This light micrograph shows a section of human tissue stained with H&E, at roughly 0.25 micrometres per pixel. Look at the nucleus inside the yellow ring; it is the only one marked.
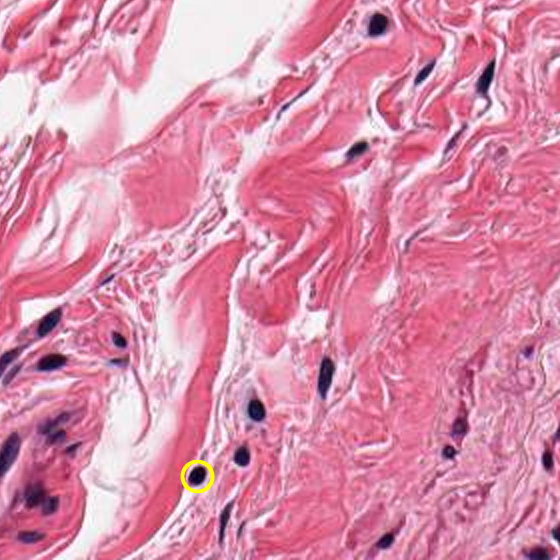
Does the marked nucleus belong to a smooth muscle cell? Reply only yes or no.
no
